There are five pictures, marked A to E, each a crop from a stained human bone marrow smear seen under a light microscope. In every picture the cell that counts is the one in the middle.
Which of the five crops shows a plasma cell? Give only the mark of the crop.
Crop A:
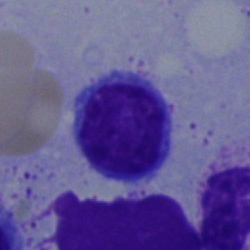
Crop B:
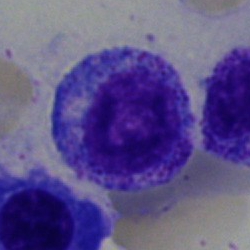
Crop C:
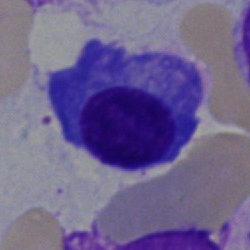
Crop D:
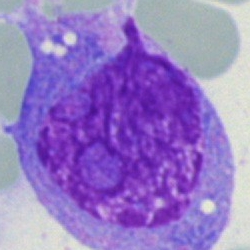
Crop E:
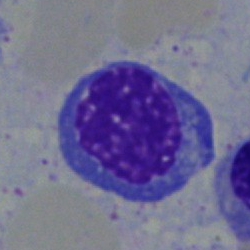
C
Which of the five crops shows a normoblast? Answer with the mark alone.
E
